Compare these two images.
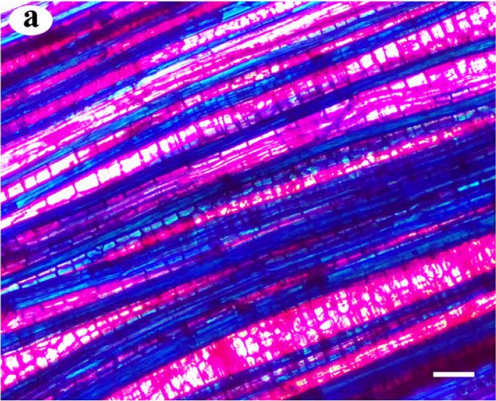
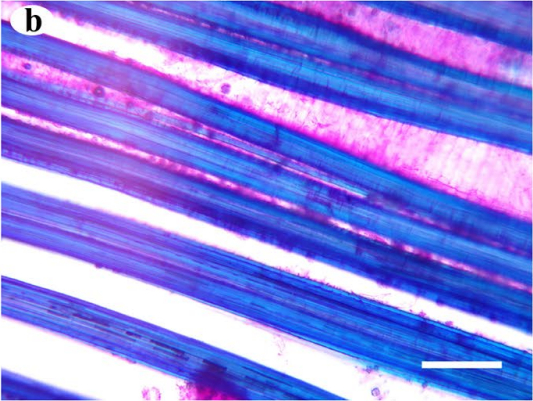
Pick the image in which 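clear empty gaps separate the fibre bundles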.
The second image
